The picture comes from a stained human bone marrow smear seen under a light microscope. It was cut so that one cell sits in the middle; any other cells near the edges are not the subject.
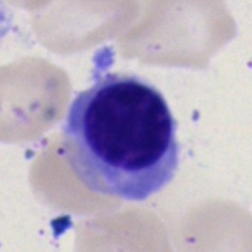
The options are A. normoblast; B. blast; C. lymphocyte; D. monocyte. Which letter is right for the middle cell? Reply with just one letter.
A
